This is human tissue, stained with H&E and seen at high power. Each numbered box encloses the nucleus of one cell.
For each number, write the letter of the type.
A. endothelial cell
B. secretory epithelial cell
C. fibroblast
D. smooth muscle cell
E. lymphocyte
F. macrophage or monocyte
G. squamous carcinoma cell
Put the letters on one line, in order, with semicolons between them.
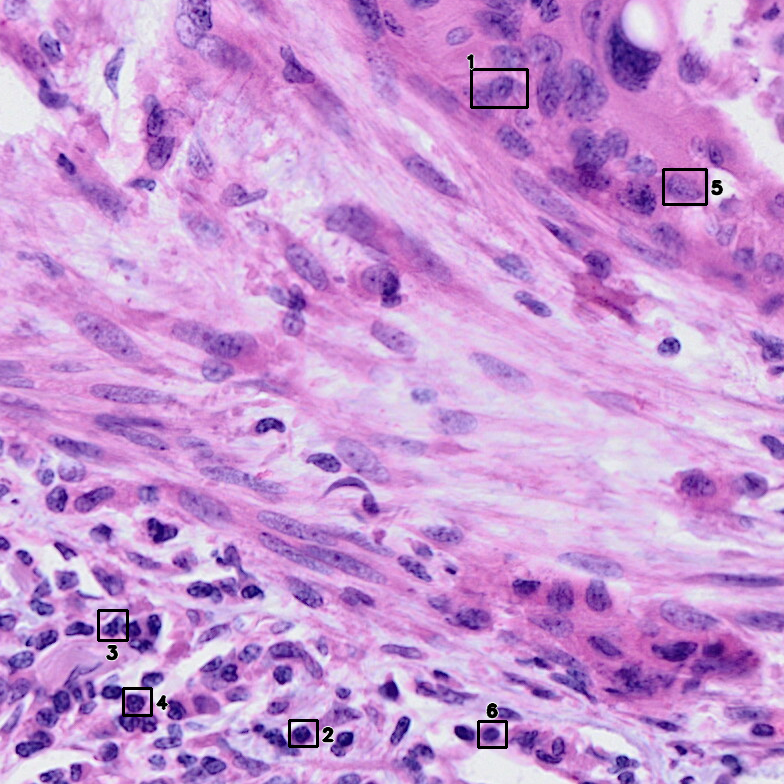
G; E; E; E; G; E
